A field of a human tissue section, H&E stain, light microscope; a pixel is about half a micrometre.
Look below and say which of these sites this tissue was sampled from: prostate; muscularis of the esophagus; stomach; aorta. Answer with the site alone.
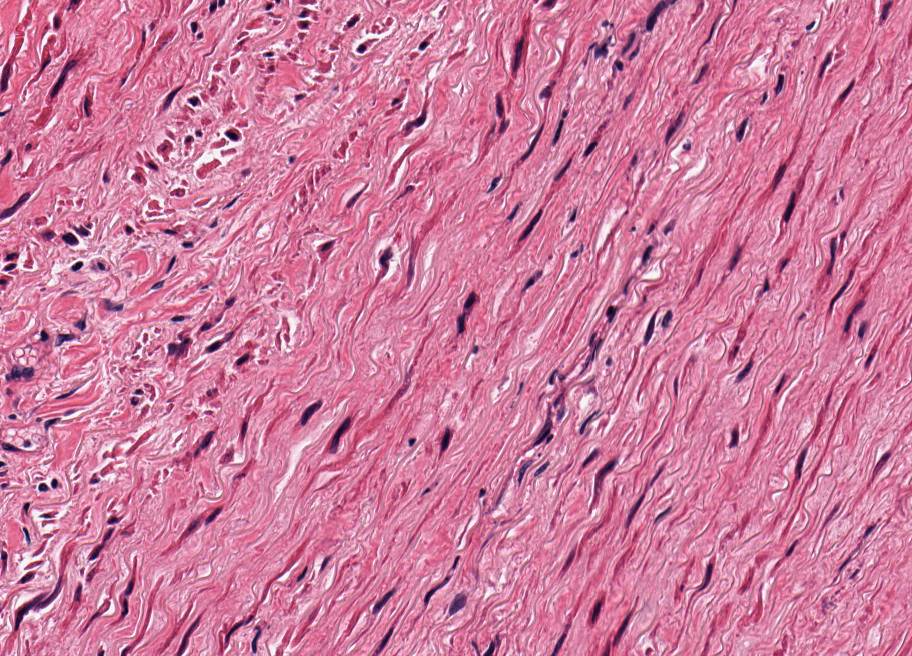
aorta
